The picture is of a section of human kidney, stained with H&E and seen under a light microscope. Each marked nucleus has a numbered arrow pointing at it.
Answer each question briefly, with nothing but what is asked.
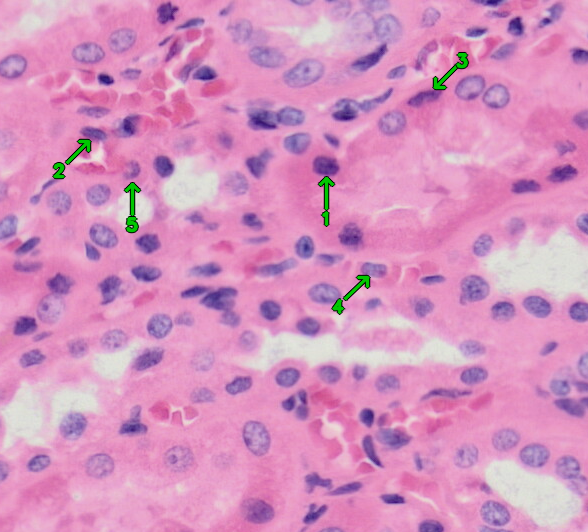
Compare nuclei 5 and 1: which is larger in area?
1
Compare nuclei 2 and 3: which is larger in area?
3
